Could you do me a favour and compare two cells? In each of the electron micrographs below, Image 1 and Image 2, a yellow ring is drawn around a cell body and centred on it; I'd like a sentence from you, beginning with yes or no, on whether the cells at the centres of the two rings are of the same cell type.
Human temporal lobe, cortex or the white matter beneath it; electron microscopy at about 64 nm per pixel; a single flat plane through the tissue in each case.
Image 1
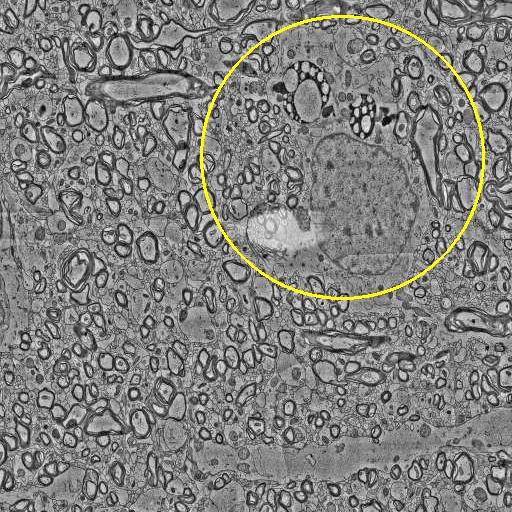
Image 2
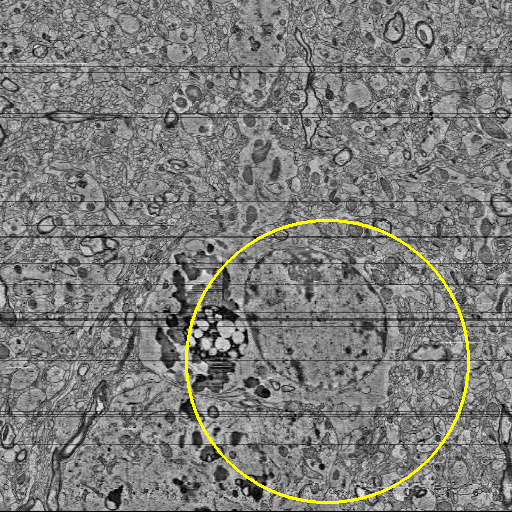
Yes, the two cells are of the same cell type.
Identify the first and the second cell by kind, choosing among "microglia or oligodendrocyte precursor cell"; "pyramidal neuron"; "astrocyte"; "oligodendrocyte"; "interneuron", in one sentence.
The cell in the first picture is an astrocyte, and so is the one in the second.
